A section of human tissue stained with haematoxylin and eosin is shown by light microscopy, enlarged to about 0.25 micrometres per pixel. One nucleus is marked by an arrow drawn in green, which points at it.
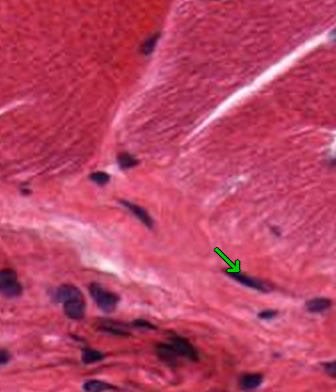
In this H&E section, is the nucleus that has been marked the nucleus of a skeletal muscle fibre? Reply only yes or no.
no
